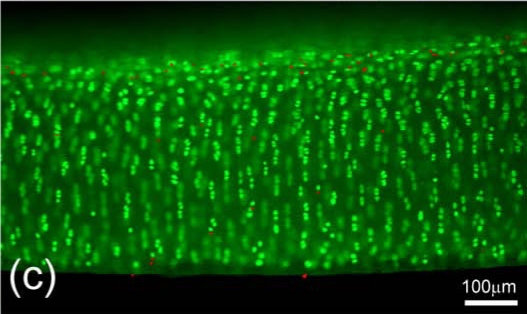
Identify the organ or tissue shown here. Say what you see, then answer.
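Cartilage. Cells are stacked in vertical columns through the depth of the band. One edge of the band is smooth and continuous, like a joint surface.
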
